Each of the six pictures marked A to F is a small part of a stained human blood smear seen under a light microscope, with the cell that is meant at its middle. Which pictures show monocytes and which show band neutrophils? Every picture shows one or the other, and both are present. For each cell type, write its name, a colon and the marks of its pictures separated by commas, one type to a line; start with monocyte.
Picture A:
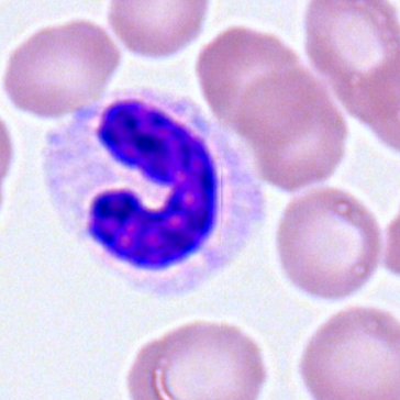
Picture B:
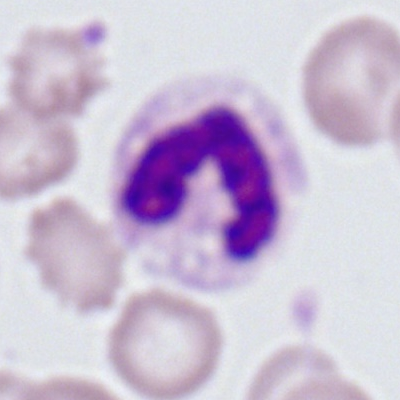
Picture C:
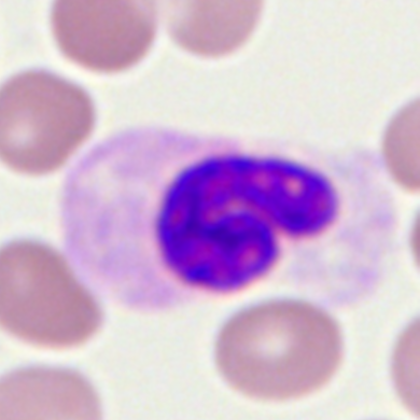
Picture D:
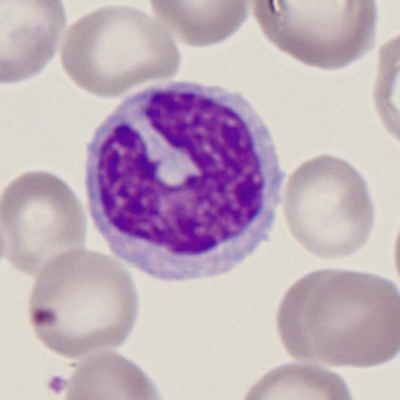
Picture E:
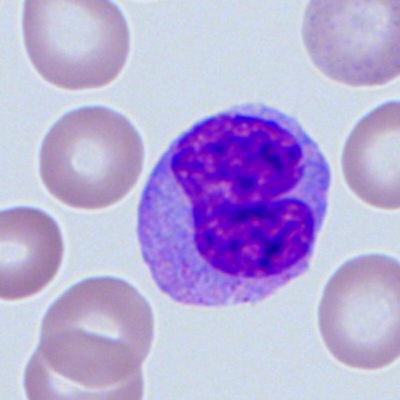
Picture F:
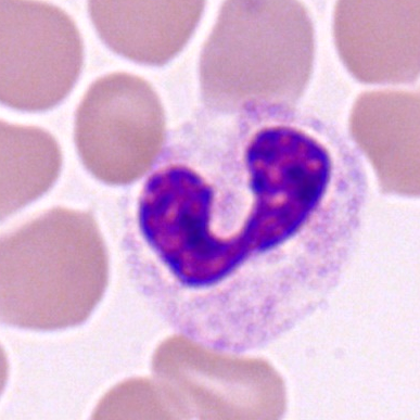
monocyte: D, E
band neutrophil: A, B, C, F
